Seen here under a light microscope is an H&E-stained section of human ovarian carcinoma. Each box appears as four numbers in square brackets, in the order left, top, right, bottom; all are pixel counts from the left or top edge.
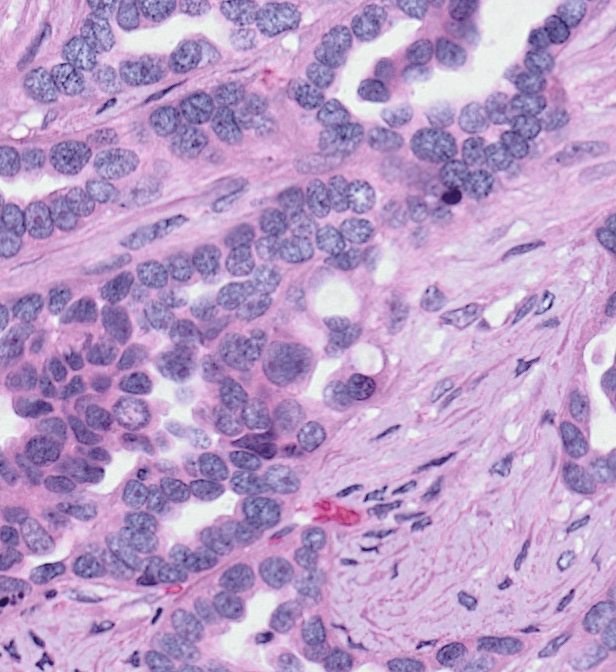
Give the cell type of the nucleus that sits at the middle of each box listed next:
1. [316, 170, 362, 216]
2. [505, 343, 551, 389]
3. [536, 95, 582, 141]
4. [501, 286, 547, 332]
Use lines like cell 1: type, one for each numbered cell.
cell 1: carcinoma cell
cell 2: fibroblast
cell 3: carcinoma cell
cell 4: fibroblast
